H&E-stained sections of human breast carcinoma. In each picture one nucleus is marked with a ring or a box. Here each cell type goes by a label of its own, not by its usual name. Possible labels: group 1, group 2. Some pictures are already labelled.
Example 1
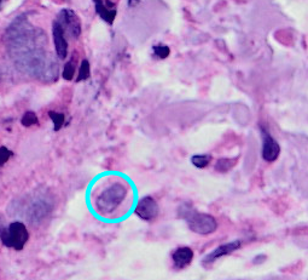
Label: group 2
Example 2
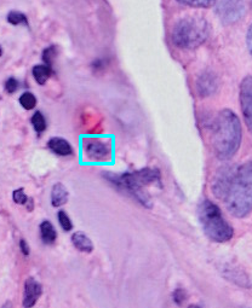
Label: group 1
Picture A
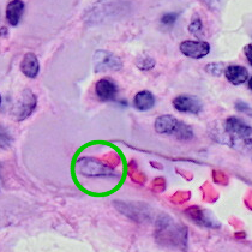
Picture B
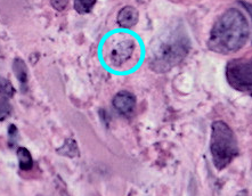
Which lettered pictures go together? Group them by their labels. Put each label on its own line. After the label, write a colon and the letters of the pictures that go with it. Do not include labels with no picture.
group 1: A
group 2: B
